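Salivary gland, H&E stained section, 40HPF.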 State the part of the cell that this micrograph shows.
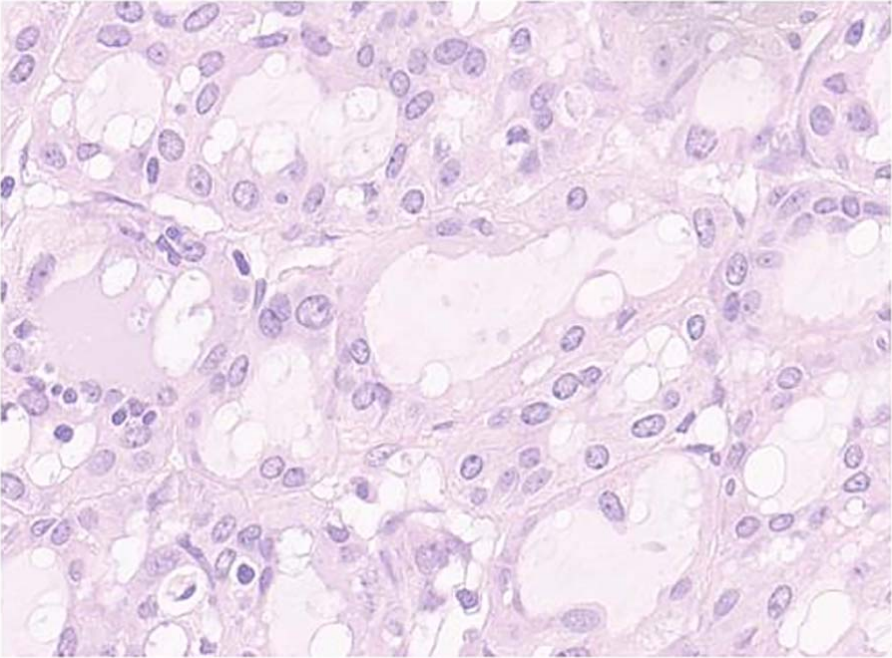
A: eosinophilic vacuolated cytoplasm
